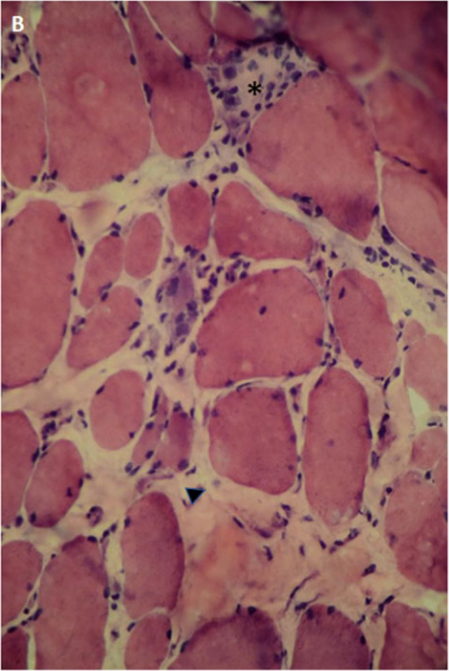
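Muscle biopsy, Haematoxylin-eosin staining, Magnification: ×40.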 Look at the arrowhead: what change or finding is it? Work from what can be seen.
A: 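The arrowhead lies in widened, pale, fibrillar space between the fibres. This space holds scattered elongated nuclei. That points to this answer: increased fibrosis tissue.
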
